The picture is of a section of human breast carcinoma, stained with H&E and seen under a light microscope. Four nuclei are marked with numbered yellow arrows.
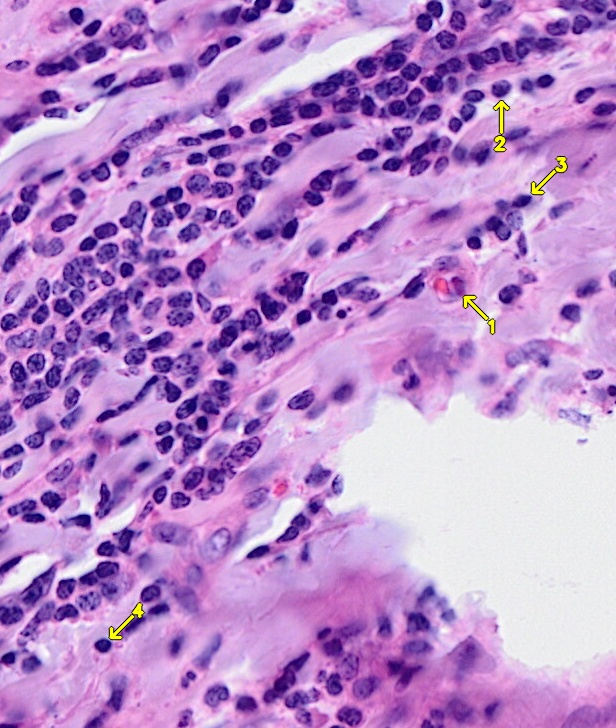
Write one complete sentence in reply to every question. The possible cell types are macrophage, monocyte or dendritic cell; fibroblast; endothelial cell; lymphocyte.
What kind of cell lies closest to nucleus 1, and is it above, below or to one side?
Just above nucleus 1 lies the nearest nucleus, which belongs to an endothelial cell.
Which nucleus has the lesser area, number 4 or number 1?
The smaller nucleus is 4, and 1 covers roughly 1.5 times its area.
